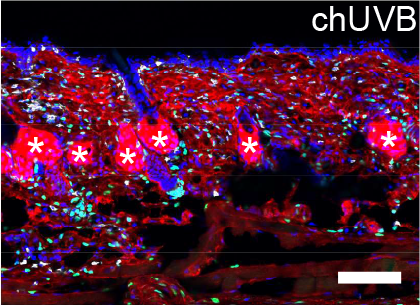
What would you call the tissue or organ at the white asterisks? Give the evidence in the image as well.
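Round bright red blobs sit beside the hair follicles in the upper dermis. Each blob is a compact rounded cluster, unlike the surrounding fibrous red network.
Answer: sebaceous glands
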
